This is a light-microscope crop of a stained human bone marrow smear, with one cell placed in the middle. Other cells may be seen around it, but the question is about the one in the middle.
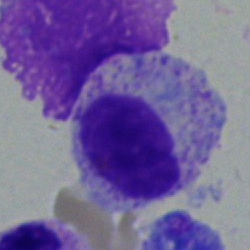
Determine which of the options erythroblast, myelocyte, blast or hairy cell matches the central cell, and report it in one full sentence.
The cell under consideration, at the middle of the crop, is a myelocyte.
